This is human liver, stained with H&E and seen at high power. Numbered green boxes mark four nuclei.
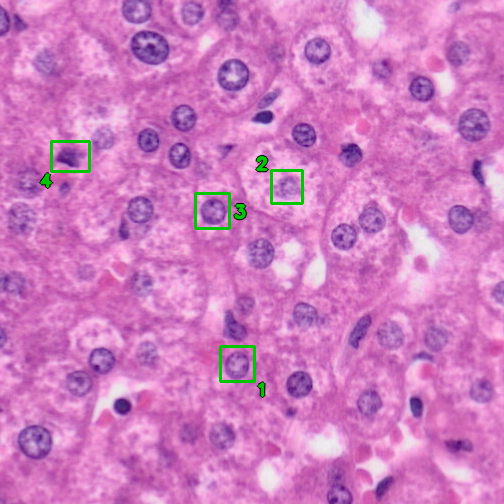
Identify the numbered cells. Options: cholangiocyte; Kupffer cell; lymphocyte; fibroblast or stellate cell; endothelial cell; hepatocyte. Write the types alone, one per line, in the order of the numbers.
hepatocyte
hepatocyte
hepatocyte
endothelial cell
